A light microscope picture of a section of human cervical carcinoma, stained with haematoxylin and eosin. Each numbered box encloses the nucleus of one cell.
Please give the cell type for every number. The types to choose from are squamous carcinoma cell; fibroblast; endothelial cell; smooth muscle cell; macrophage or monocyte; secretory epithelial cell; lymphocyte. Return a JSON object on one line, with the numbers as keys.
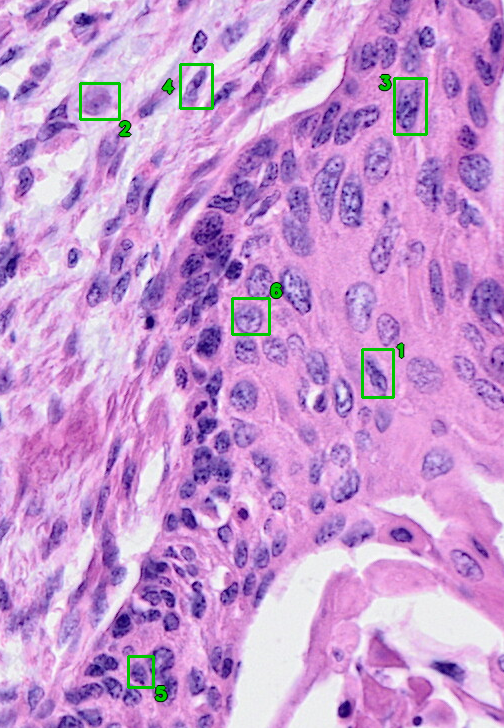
{"1": "squamous carcinoma cell", "2": "fibroblast", "3": "squamous carcinoma cell", "4": "fibroblast", "5": "squamous carcinoma cell", "6": "squamous carcinoma cell"}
